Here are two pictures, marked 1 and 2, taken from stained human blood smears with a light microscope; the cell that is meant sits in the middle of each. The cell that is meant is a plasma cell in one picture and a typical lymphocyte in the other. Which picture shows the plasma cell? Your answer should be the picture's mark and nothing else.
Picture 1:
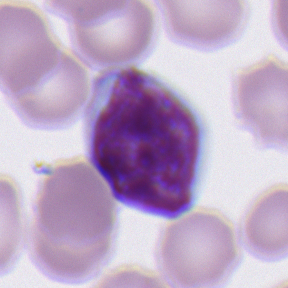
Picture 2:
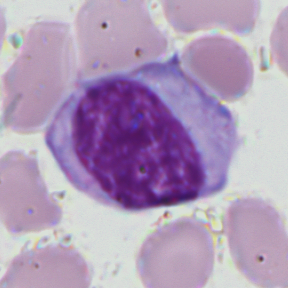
2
